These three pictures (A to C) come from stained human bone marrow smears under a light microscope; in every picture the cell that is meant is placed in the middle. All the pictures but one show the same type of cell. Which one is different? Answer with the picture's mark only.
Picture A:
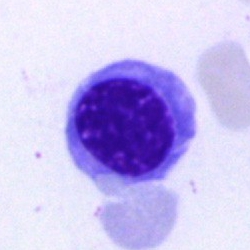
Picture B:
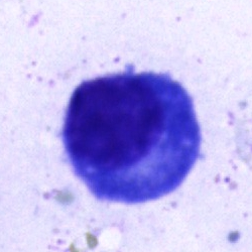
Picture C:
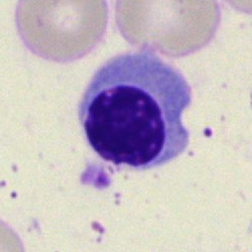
B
